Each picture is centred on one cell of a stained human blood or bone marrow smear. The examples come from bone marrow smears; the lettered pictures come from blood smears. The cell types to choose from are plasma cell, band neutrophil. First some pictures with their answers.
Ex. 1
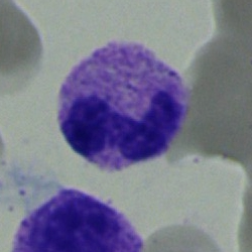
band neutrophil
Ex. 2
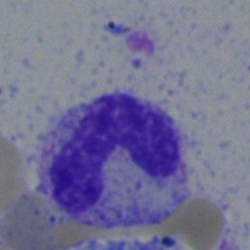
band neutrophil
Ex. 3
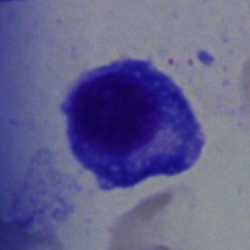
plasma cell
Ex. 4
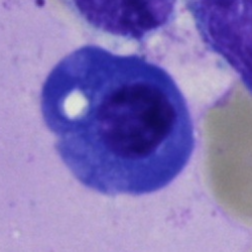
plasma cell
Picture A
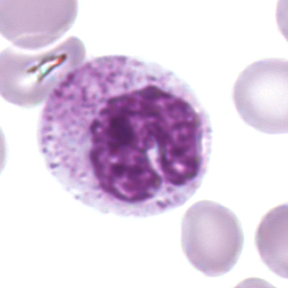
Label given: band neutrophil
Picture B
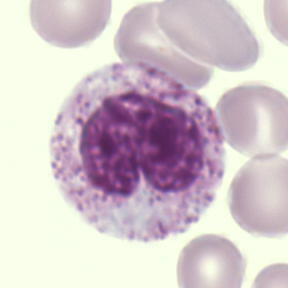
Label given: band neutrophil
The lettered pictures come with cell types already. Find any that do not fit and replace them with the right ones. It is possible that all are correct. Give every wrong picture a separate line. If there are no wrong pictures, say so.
Nothing to fix; every label fits.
